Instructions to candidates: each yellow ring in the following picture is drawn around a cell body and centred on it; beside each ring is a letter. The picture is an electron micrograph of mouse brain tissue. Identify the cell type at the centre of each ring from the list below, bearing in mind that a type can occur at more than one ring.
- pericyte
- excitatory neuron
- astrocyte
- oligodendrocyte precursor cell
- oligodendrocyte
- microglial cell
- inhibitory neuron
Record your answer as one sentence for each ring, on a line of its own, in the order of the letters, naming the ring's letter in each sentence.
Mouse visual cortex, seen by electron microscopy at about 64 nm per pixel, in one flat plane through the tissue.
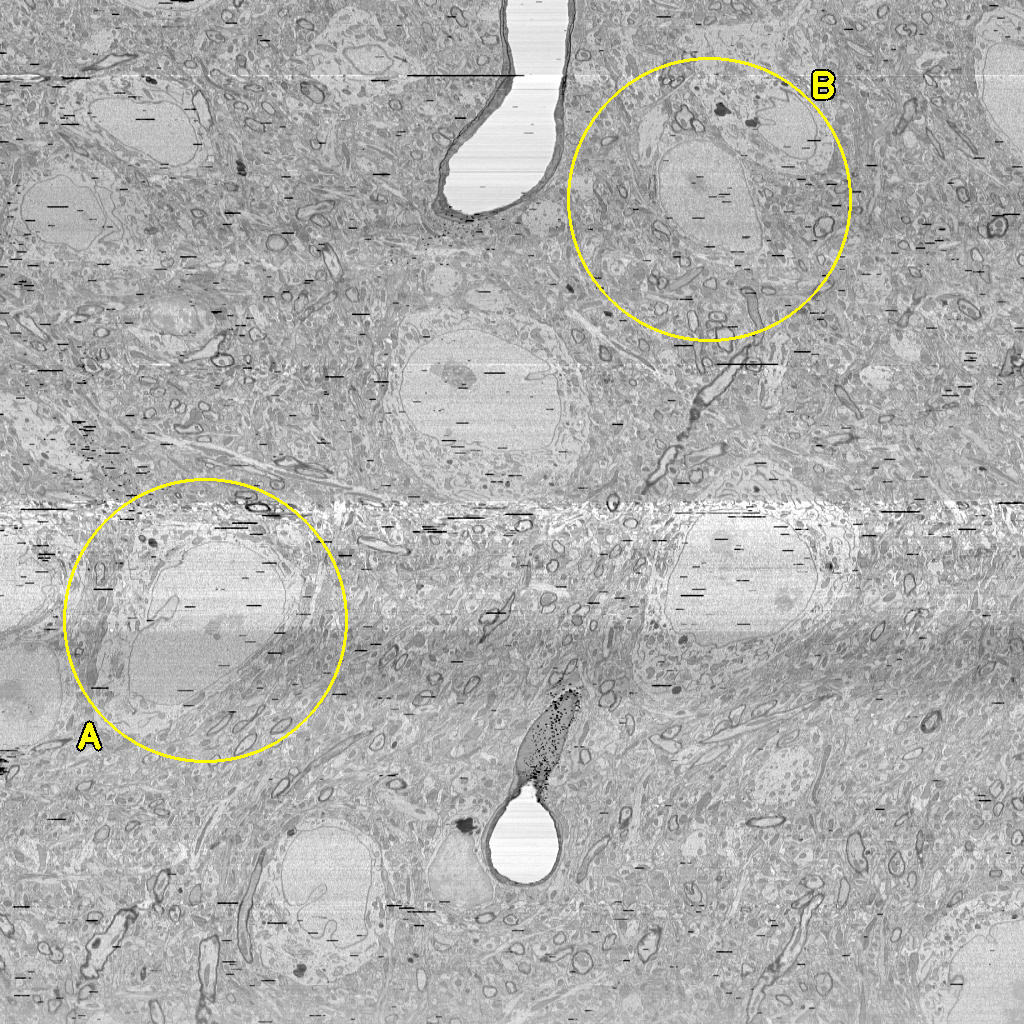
The cell centred in ring A is an excitatory neuron.
The cell centred in ring B is an astrocyte.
